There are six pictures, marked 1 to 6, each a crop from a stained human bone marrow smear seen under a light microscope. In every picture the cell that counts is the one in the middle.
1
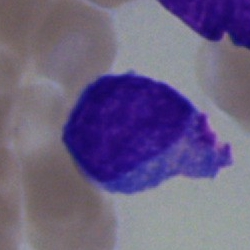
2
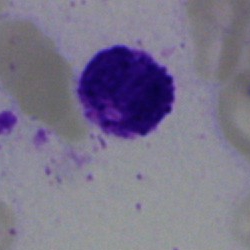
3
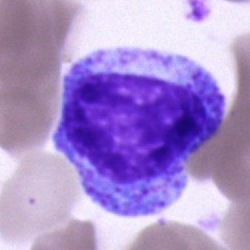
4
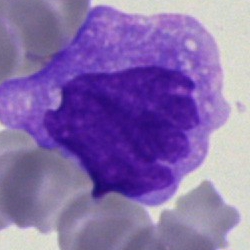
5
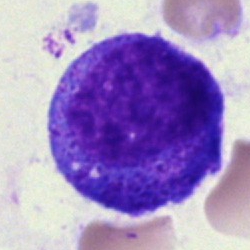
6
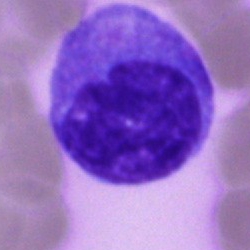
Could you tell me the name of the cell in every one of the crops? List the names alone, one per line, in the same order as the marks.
blast
basophil
promyelocyte
monocyte
promyelocyte
monocyte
